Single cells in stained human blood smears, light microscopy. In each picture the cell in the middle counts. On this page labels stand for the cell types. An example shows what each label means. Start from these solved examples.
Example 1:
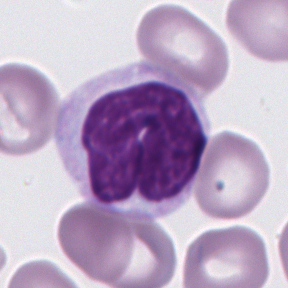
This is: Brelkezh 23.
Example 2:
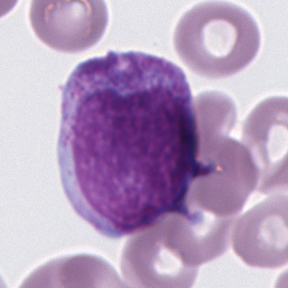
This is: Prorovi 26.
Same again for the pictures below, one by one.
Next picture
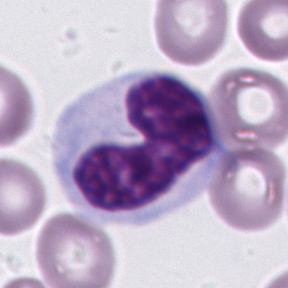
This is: Brelkezh 23.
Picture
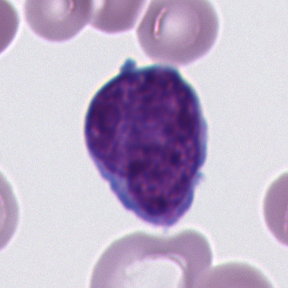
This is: Prorovi 26.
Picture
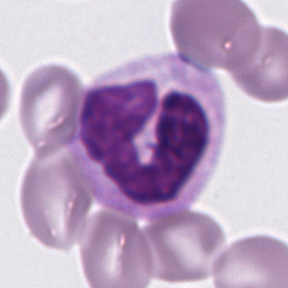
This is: Brelkezh 23.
